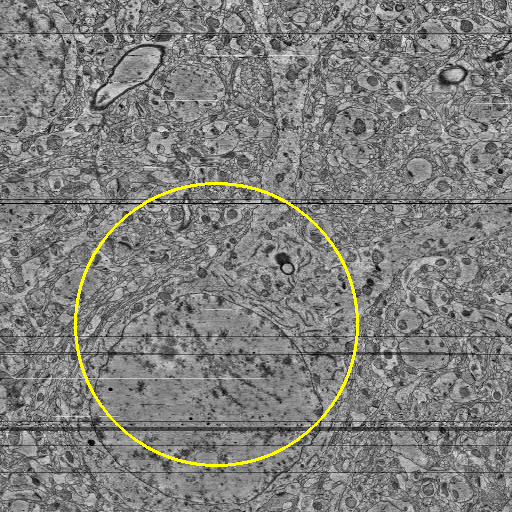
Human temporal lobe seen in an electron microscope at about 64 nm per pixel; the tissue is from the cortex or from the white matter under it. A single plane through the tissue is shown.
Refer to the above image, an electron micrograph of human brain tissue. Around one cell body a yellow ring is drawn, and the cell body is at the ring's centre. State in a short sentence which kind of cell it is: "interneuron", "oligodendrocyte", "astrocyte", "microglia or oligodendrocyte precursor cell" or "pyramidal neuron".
The centre of the ring falls on a pyramidal neuron.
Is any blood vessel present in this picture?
No, none is visible.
